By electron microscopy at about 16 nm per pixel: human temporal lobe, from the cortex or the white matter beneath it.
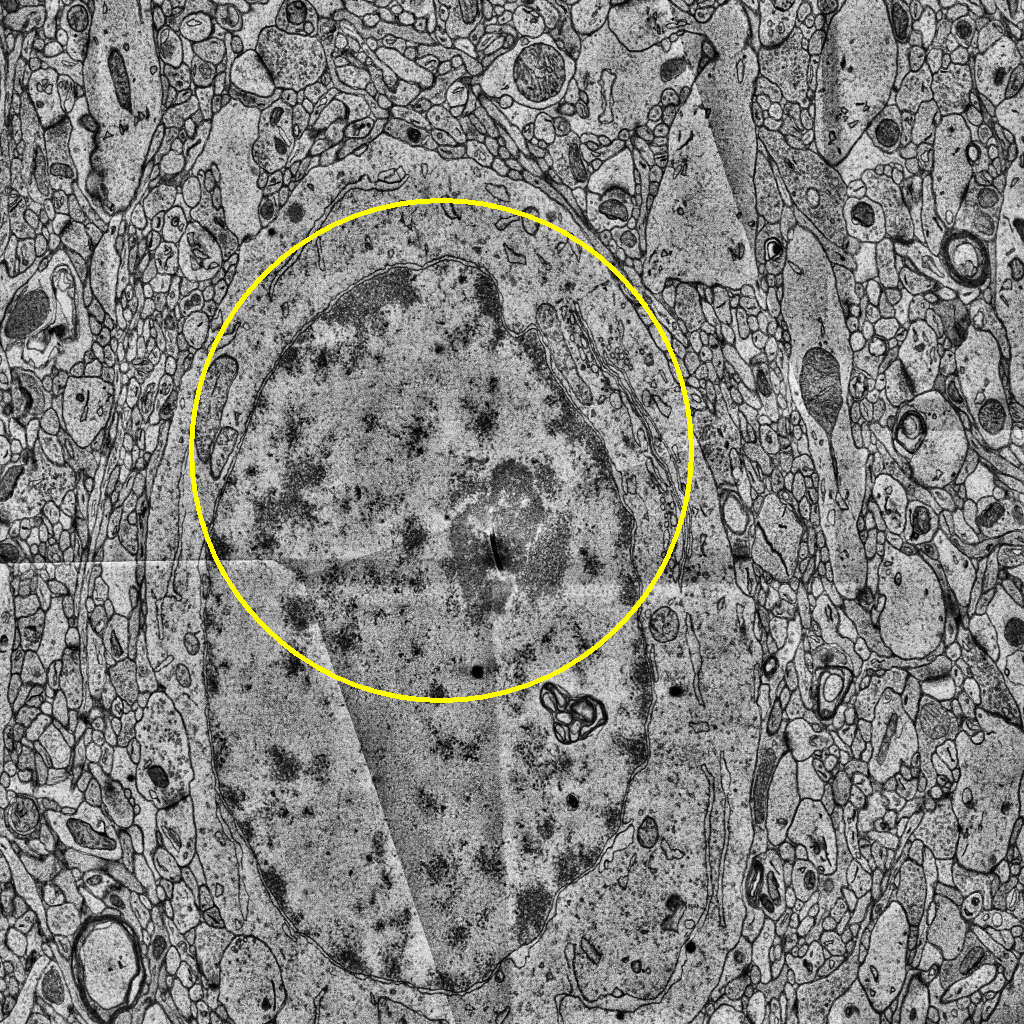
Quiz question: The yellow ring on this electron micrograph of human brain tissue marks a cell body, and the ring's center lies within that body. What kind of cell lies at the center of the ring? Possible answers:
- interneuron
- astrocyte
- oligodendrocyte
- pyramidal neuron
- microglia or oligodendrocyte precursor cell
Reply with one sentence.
The ring's center lies on an interneuron.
